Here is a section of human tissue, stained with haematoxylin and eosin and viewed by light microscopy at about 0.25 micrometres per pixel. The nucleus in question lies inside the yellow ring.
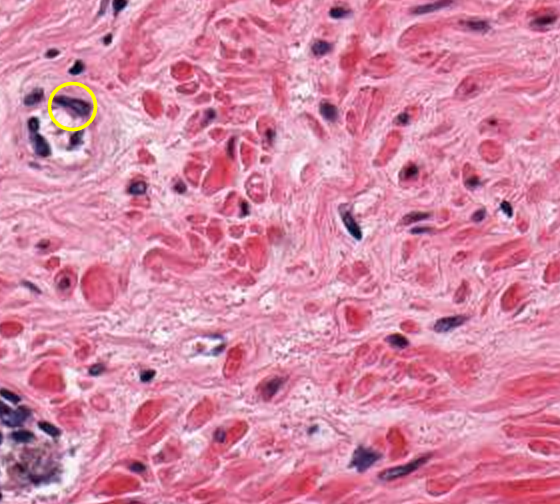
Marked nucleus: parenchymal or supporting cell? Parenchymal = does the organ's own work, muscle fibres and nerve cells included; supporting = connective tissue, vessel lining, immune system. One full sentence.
The marked nucleus lies in a supporting cell.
